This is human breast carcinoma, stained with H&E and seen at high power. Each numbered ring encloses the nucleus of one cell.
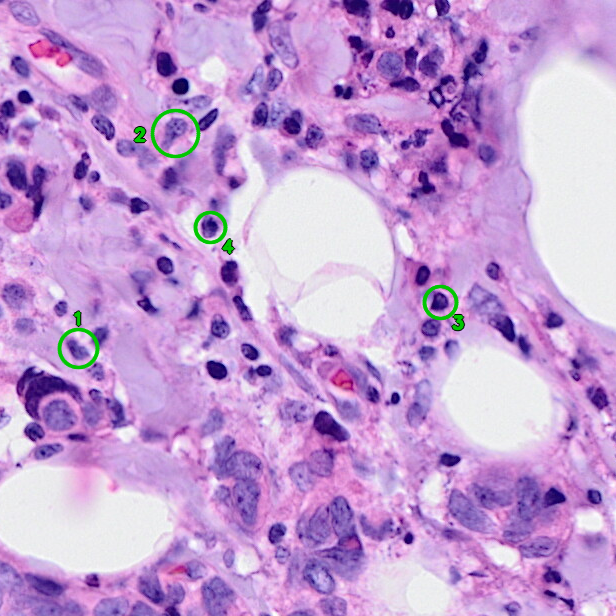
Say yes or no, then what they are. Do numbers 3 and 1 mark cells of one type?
Yes, both are lymphocytes.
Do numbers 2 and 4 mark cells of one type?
No, cell 2 is a mast cell and cell 4 is a lymphocyte.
